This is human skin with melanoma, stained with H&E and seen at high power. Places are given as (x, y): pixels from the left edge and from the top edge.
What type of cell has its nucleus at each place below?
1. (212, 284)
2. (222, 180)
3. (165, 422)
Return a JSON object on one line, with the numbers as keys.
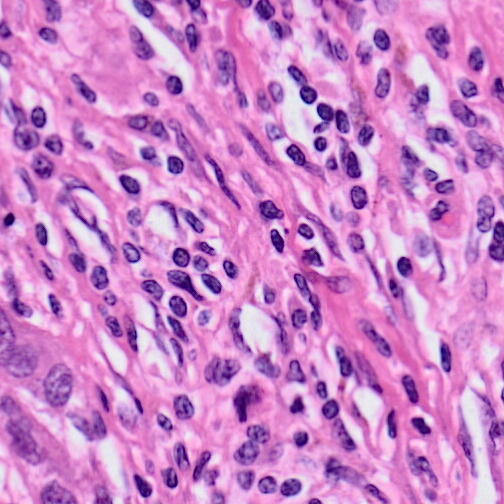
{"1": "lymphocyte", "2": "fibroblast or myofibroblast", "3": "lymphocyte"}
